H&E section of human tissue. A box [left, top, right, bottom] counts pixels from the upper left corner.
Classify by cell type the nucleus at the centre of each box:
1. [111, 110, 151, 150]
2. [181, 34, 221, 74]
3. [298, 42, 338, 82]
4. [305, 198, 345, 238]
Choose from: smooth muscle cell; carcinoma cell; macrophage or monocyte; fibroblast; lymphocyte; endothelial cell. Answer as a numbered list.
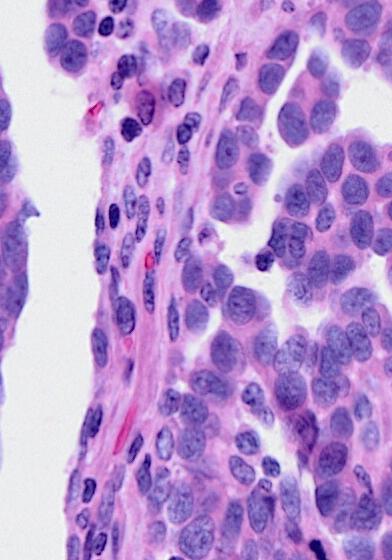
1. lymphocyte
2. lymphocyte
3. carcinoma cell
4. macrophage or monocyte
